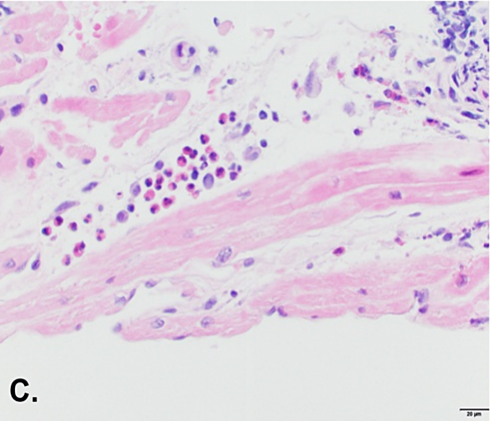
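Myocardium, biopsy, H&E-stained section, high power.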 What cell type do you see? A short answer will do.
Eosinophils.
